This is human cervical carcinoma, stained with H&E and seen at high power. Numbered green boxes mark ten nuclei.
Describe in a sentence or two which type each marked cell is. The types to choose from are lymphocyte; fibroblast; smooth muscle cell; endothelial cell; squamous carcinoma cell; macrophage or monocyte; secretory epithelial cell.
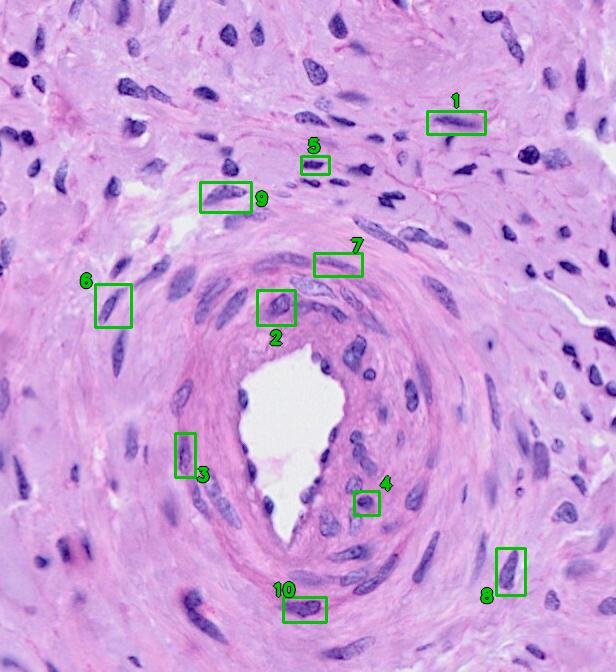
Cell 1 is a fibroblast, cell 2 is a smooth muscle cell, cell 3 is a smooth muscle cell, cell 4 is a smooth muscle cell, cell 5 is a fibroblast, cell 6 is a fibroblast, cell 7 is a smooth muscle cell, cell 8 is a fibroblast, cell 9 is a fibroblast and cell 10 is a smooth muscle cell.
